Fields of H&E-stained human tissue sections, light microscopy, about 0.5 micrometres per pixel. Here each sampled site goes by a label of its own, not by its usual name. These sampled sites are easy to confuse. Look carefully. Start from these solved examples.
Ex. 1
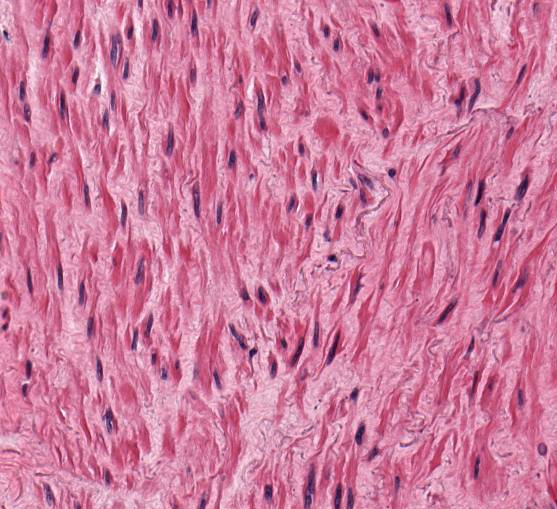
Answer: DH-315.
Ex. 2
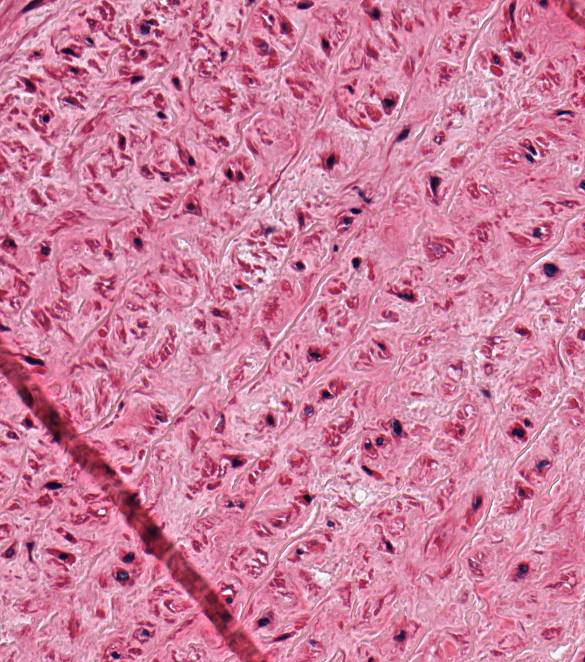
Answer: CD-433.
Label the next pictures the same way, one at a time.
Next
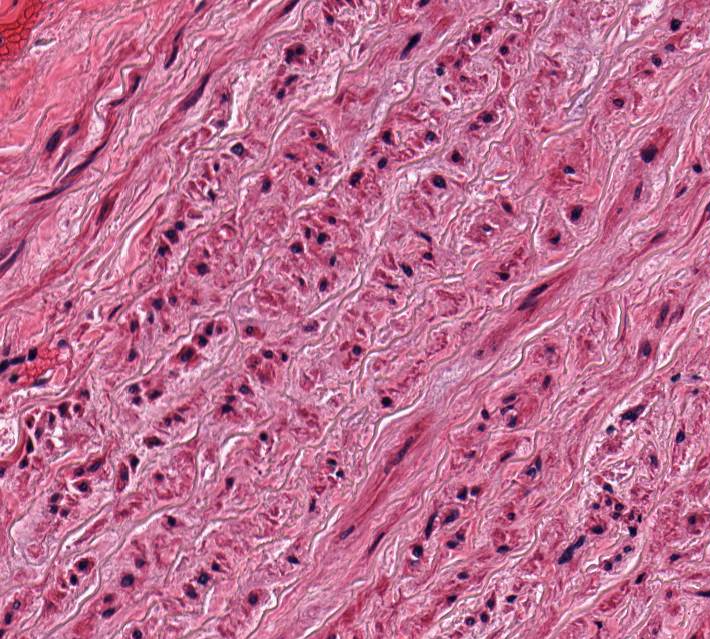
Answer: CD-433.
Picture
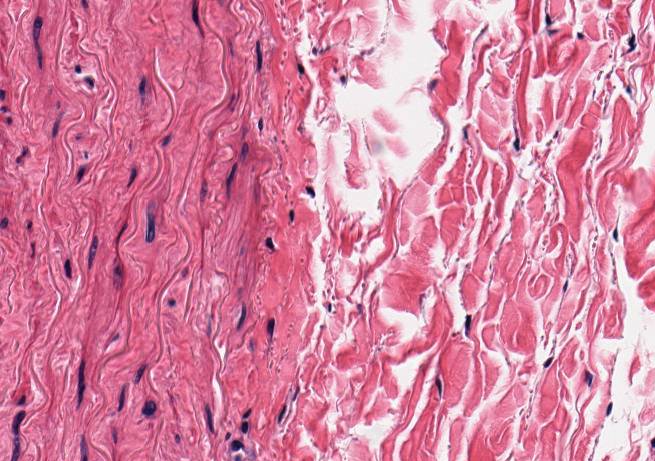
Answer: CD-433.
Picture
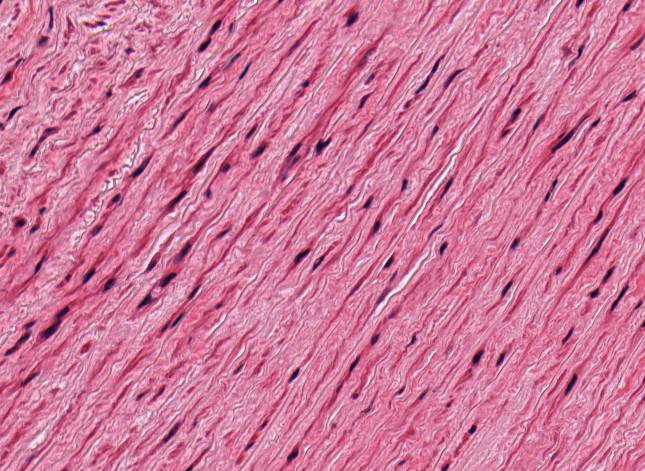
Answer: CD-433.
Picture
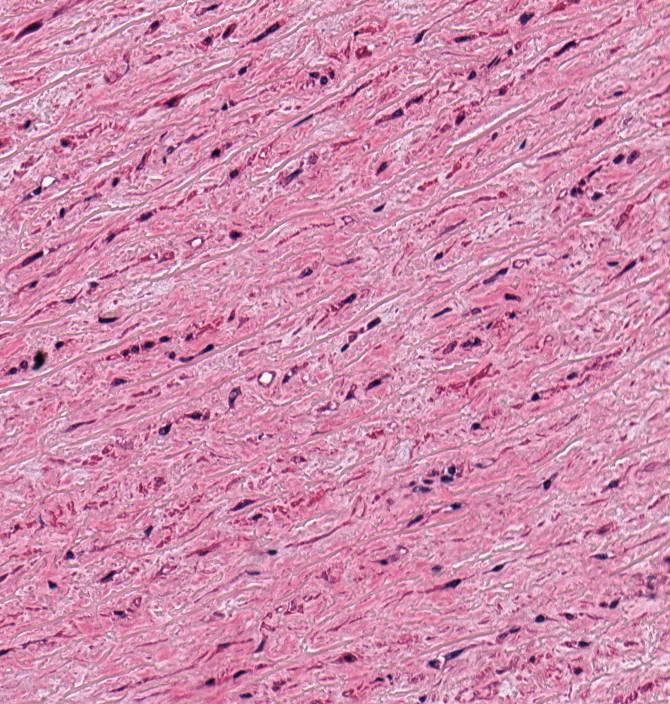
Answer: CD-433.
